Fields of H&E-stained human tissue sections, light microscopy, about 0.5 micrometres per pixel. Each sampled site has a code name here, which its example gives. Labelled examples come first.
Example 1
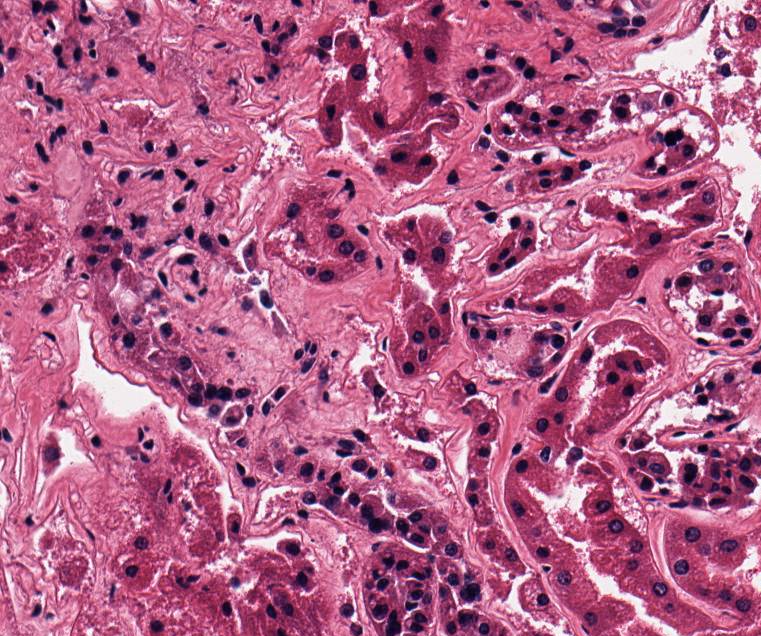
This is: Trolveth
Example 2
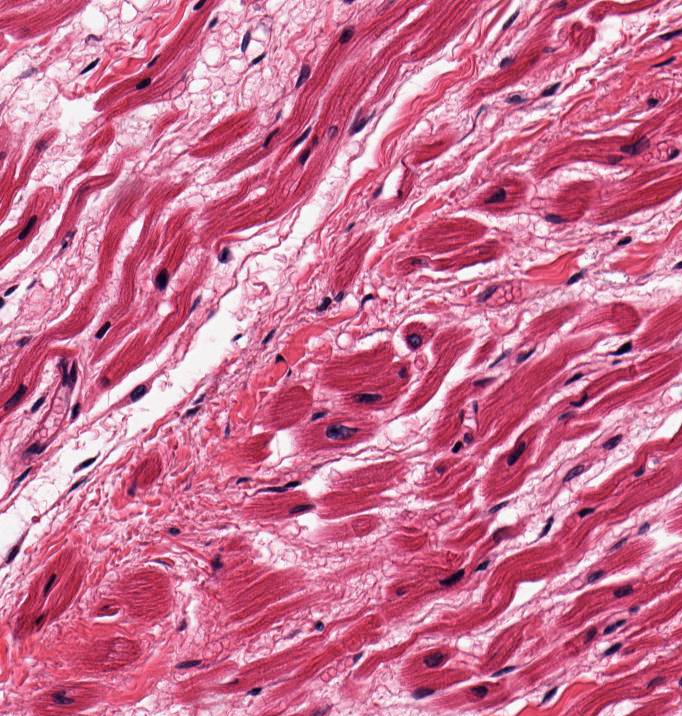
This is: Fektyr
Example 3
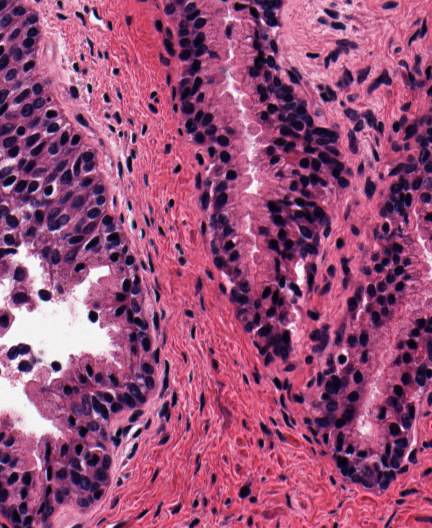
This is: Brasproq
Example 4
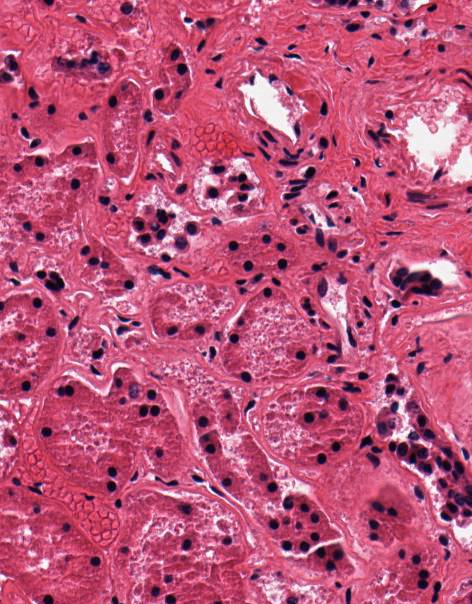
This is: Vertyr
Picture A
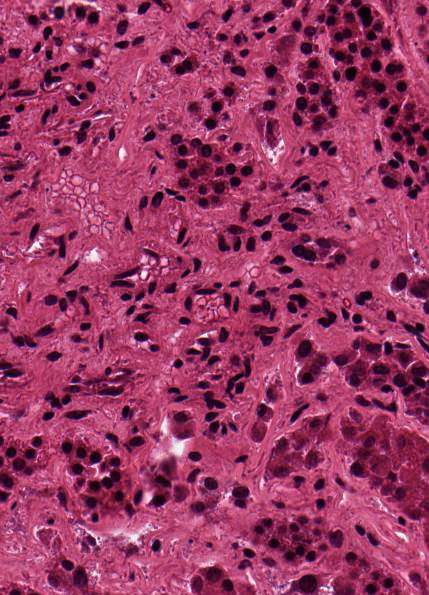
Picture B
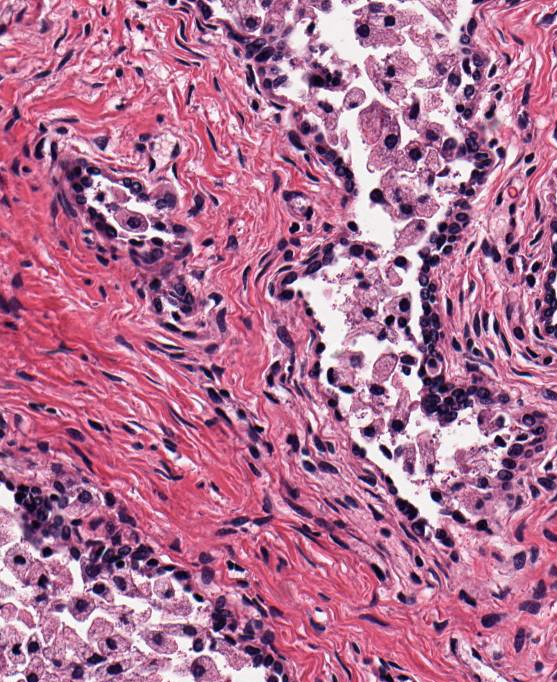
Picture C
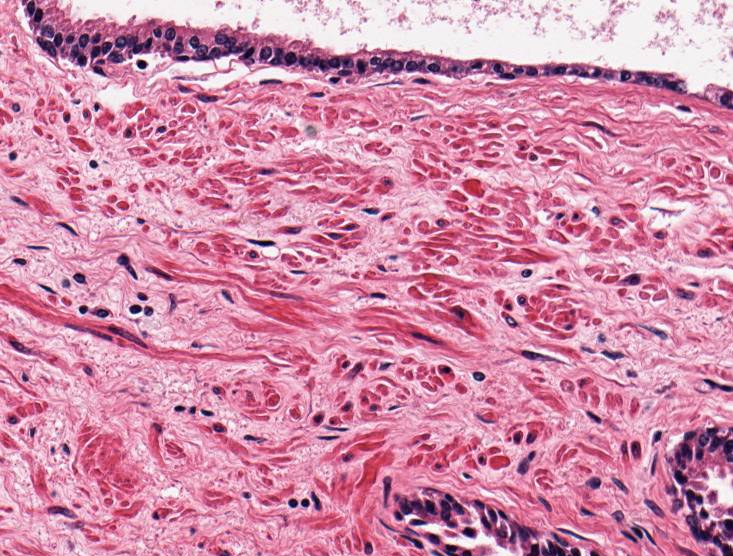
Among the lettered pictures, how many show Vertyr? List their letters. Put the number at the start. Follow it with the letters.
Count: 1 (A)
